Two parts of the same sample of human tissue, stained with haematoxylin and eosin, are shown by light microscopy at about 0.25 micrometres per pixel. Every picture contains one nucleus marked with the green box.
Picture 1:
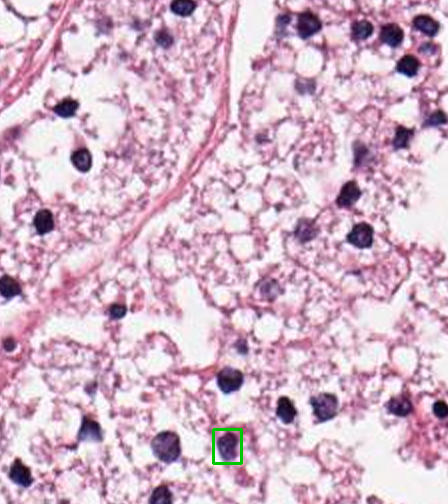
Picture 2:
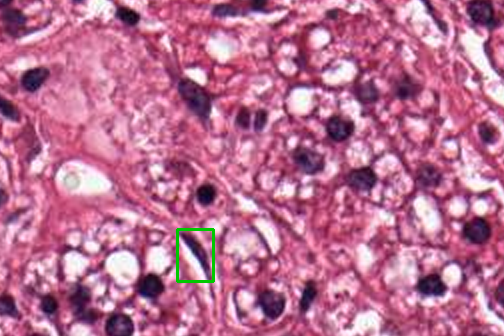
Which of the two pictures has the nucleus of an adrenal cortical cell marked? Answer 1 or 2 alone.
1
